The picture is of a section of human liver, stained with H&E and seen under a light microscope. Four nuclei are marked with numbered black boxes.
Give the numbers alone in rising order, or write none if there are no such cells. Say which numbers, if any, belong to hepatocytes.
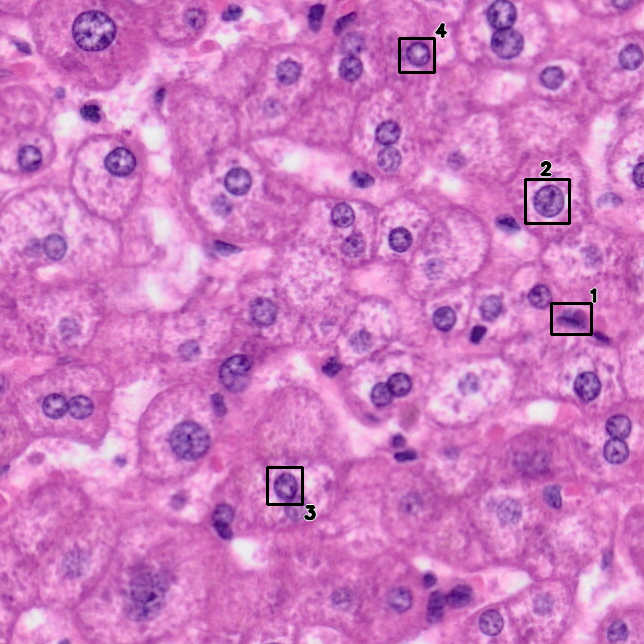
2, 3, 4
